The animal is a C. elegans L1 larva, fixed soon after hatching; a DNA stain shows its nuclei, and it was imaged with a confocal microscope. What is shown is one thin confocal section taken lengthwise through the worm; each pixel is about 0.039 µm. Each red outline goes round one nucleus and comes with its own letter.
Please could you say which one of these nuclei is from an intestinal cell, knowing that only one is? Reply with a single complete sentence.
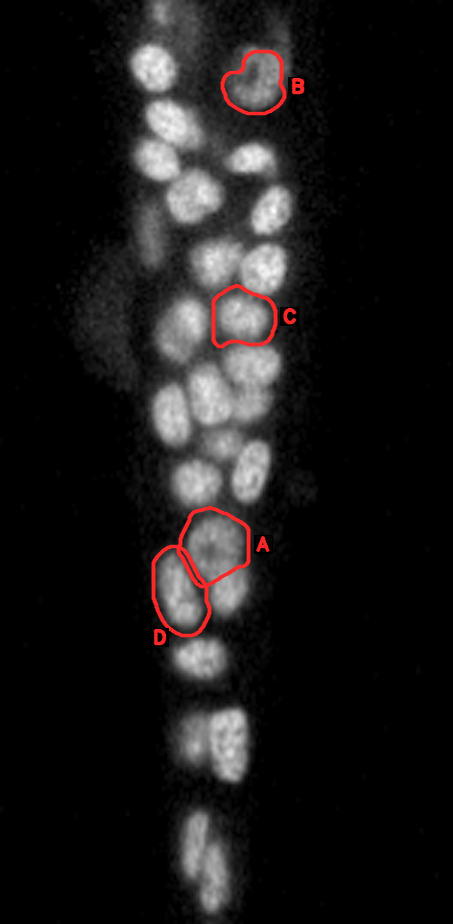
B is the nucleus of an intestinal cell.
